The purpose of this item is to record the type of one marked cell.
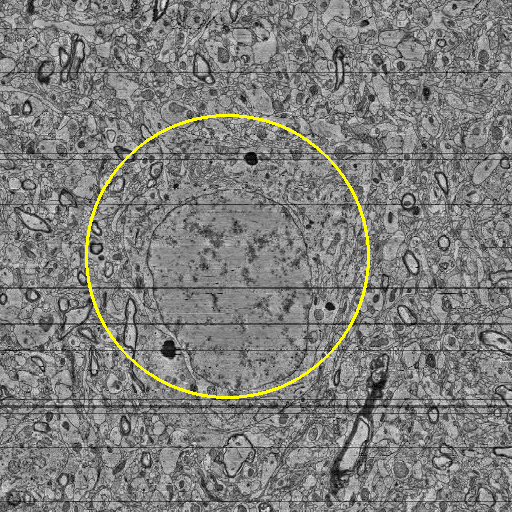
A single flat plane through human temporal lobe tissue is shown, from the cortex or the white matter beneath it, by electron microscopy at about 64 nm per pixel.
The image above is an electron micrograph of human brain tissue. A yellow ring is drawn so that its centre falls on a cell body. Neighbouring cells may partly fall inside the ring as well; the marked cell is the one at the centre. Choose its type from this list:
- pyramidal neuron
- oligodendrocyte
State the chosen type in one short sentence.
What the ring marks here is a pyramidal neuron.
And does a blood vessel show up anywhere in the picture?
No, no vessel appears in the picture.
